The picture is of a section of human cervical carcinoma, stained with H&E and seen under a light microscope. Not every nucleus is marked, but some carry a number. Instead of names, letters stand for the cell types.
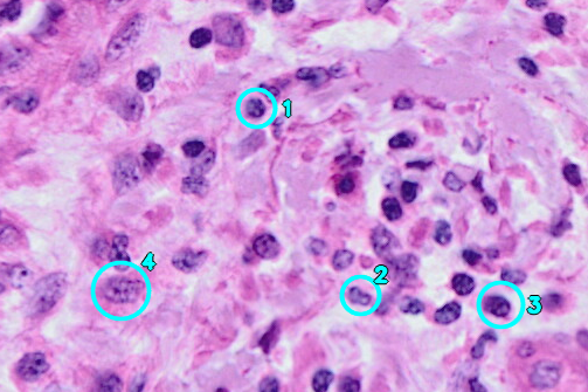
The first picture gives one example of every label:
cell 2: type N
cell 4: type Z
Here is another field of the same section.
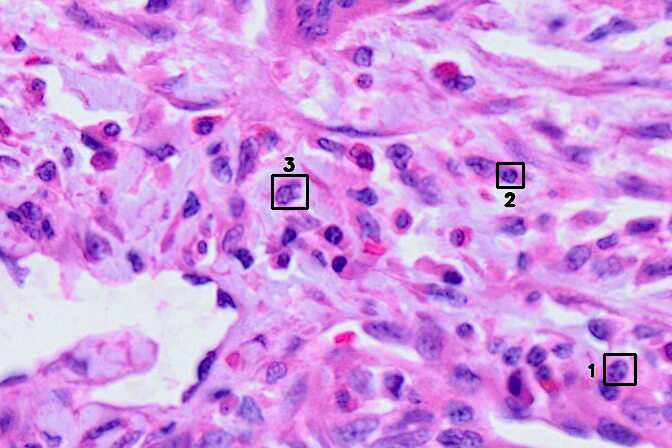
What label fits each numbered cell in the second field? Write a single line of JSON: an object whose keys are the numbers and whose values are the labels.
{"1": "type N", "2": "type N", "3": "type Z"}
